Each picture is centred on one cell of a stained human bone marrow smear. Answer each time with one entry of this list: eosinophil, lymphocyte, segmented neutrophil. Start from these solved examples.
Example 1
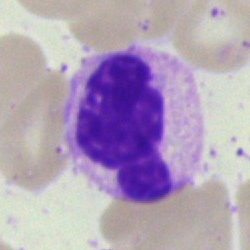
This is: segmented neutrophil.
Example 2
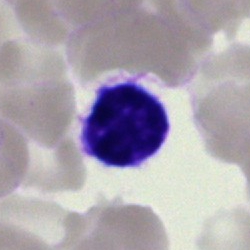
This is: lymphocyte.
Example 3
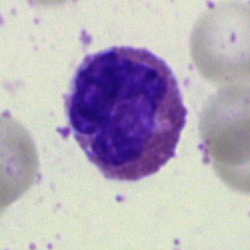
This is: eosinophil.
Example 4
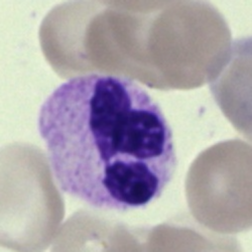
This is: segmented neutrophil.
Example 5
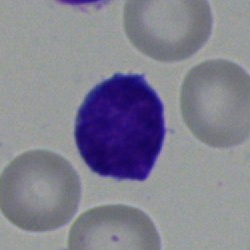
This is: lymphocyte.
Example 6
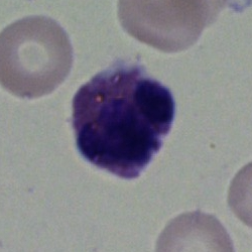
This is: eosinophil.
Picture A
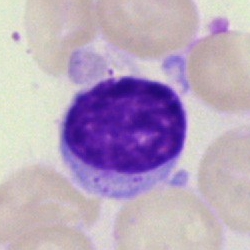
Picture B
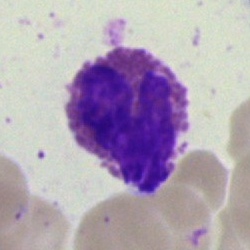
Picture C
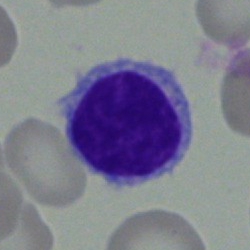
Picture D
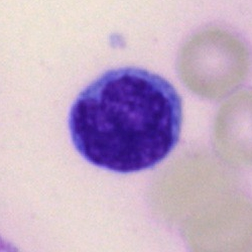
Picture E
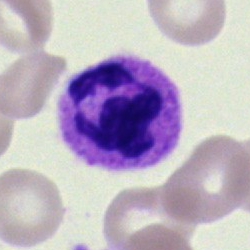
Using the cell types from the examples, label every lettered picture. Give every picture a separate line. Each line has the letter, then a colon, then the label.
A: lymphocyte.
B: eosinophil.
C: lymphocyte.
D: lymphocyte.
E: segmented neutrophil.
